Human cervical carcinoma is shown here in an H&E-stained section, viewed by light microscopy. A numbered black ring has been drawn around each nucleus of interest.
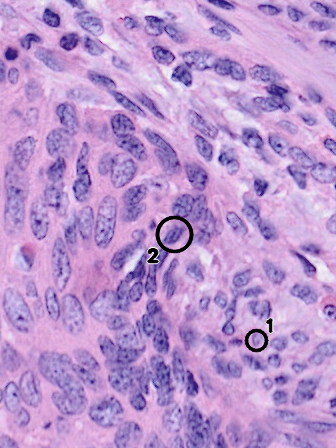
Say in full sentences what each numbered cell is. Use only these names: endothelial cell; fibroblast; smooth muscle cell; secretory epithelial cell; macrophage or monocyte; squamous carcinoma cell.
Cell 1 is a smooth muscle cell and cell 2 is a squamous carcinoma cell.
